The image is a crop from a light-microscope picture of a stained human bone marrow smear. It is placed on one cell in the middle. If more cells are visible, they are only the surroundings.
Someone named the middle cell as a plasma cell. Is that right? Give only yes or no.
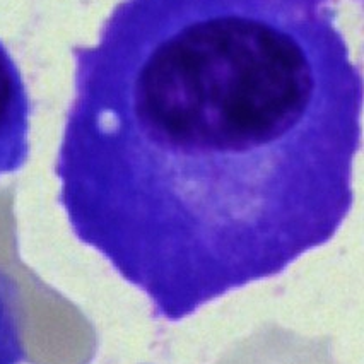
yes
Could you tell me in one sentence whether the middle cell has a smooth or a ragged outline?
The cell outline lacks smoothness, being ragged or extended into projections.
